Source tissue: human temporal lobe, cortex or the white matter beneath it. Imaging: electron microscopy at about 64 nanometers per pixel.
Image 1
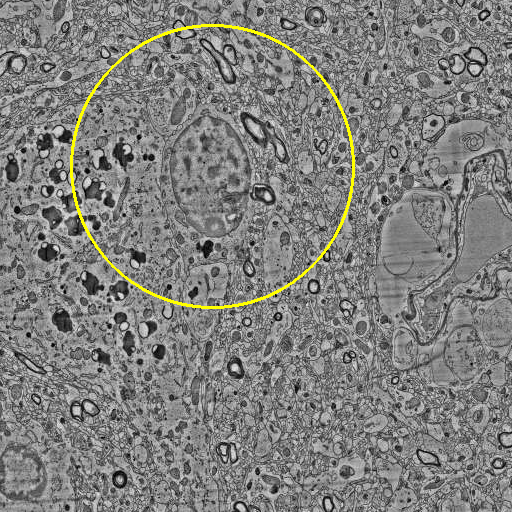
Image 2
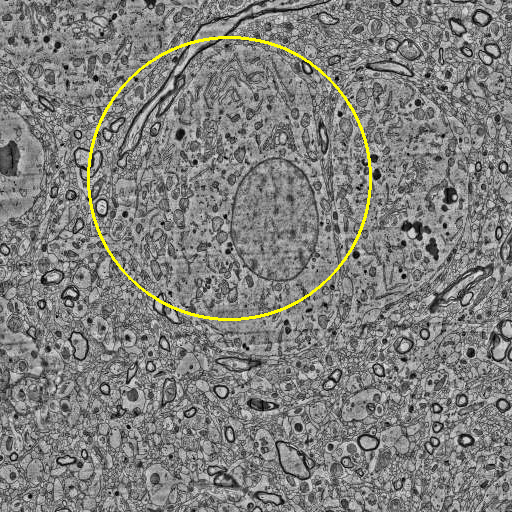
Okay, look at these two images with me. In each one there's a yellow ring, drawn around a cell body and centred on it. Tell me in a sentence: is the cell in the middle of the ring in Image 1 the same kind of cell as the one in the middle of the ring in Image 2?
No, they're two kinds of cell.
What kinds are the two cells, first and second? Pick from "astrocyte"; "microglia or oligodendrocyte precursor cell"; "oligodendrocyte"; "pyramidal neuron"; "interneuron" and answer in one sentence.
The second picture holds an interneuron in its ring, and the first holds an oligodendrocyte.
